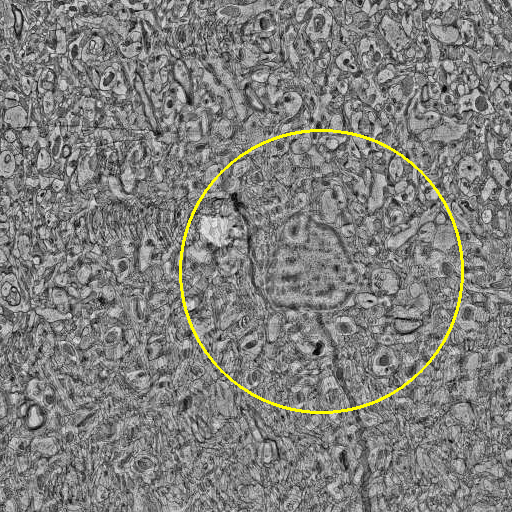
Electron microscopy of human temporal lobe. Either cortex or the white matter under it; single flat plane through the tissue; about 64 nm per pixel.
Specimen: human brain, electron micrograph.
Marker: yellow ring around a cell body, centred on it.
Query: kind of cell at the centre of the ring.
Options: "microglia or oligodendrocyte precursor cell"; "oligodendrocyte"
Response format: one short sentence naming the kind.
This cell body belongs to a microglial cell or oligodendrocyte precursor cell.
